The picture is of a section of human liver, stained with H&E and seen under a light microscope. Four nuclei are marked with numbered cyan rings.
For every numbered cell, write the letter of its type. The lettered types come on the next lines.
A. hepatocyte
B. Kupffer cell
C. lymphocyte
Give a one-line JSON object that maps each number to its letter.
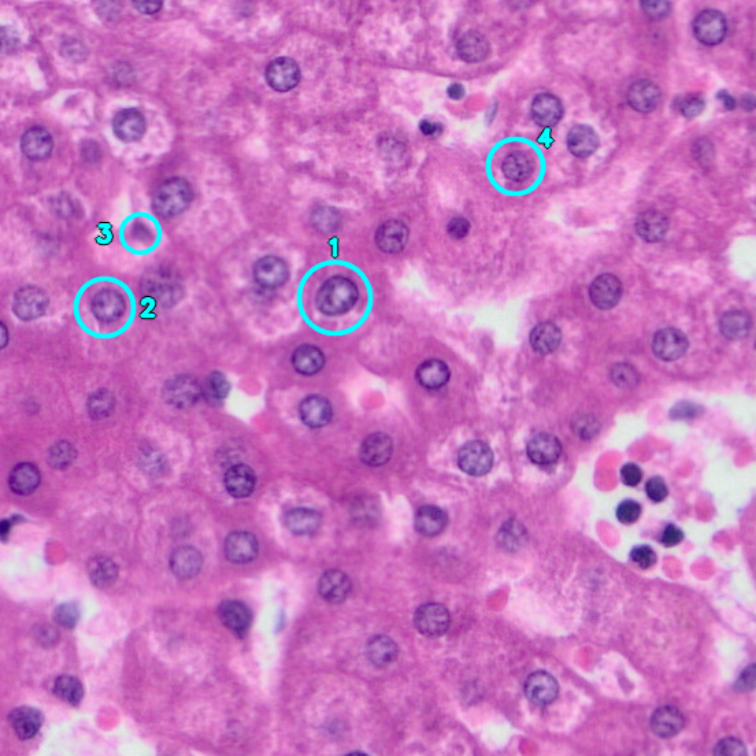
{"1": "A", "2": "A", "3": "B", "4": "A"}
